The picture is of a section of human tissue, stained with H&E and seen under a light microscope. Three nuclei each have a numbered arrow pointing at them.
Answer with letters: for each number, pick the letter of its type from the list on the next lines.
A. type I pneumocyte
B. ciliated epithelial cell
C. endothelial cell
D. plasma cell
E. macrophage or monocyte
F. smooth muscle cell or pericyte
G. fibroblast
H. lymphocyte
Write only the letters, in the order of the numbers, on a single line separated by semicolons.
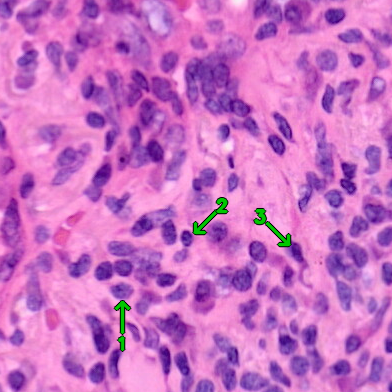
H; H; D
